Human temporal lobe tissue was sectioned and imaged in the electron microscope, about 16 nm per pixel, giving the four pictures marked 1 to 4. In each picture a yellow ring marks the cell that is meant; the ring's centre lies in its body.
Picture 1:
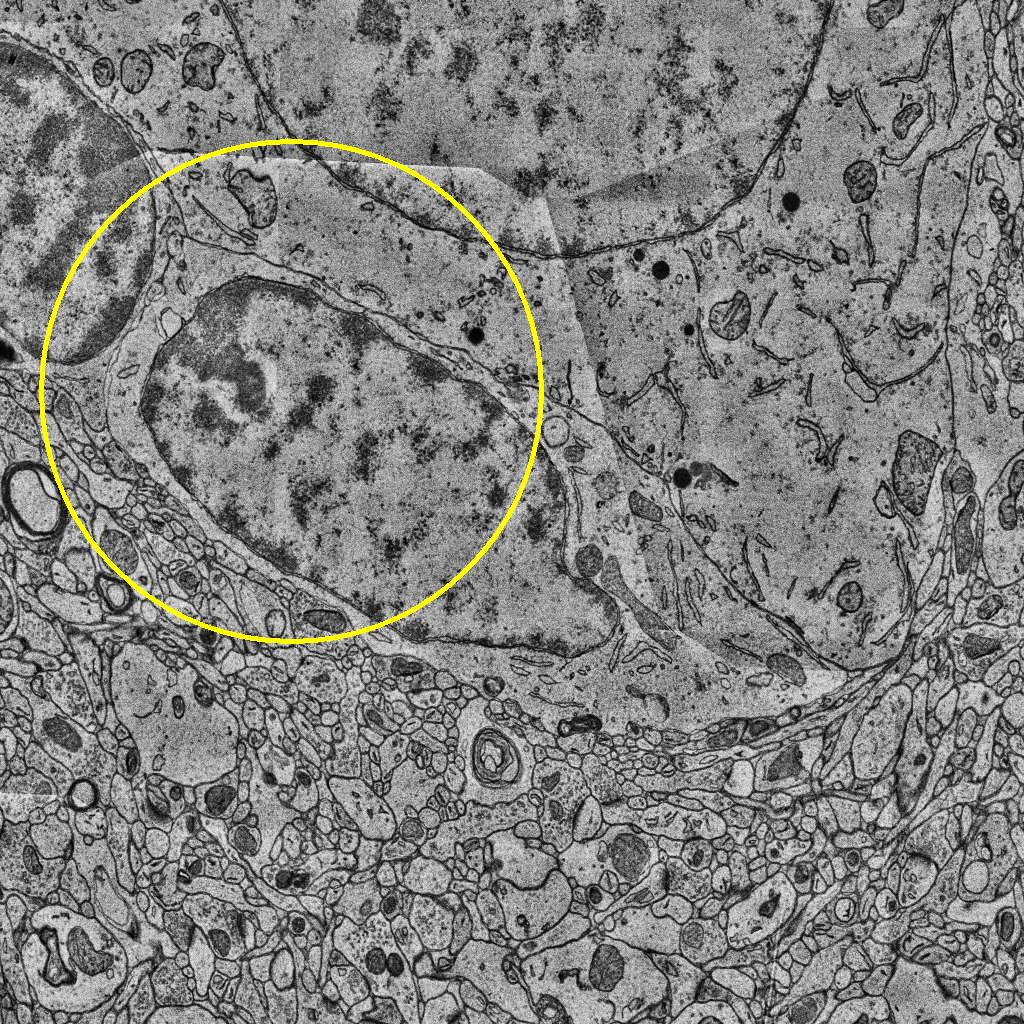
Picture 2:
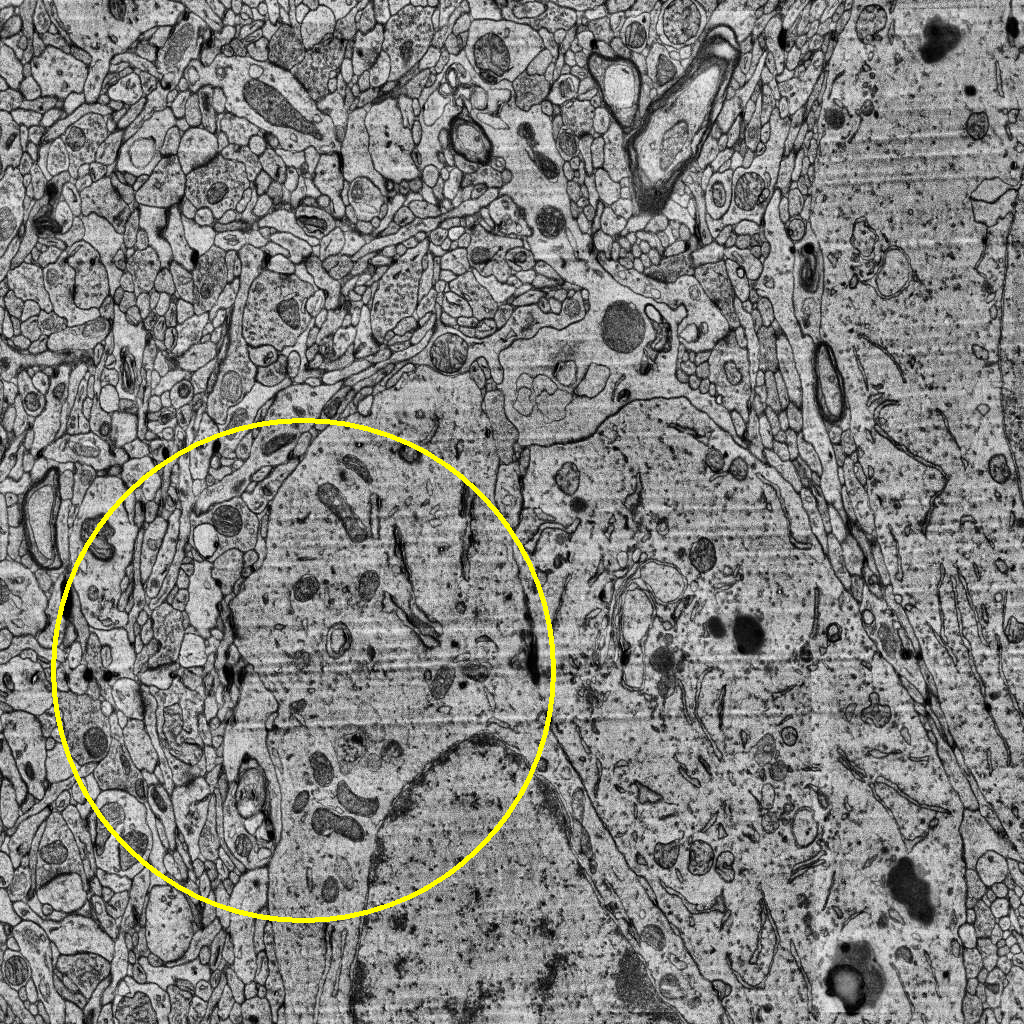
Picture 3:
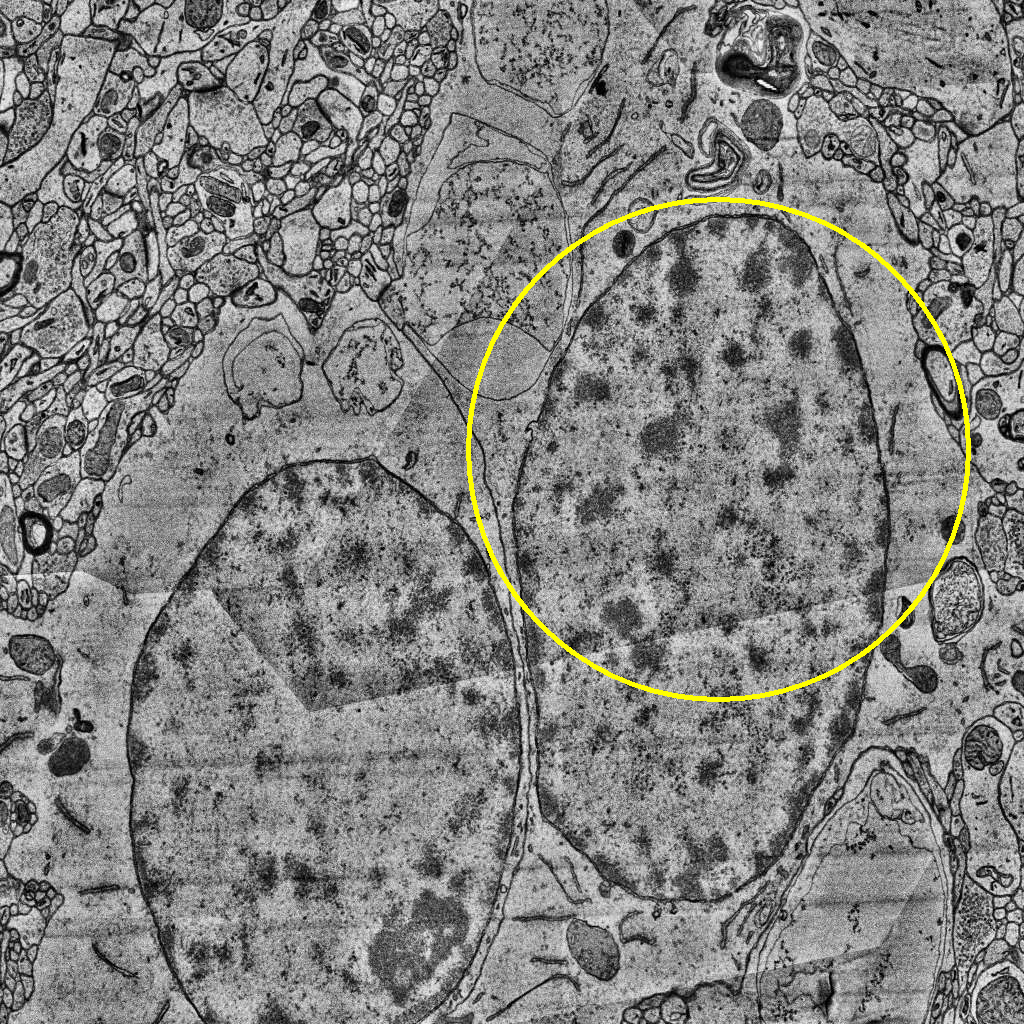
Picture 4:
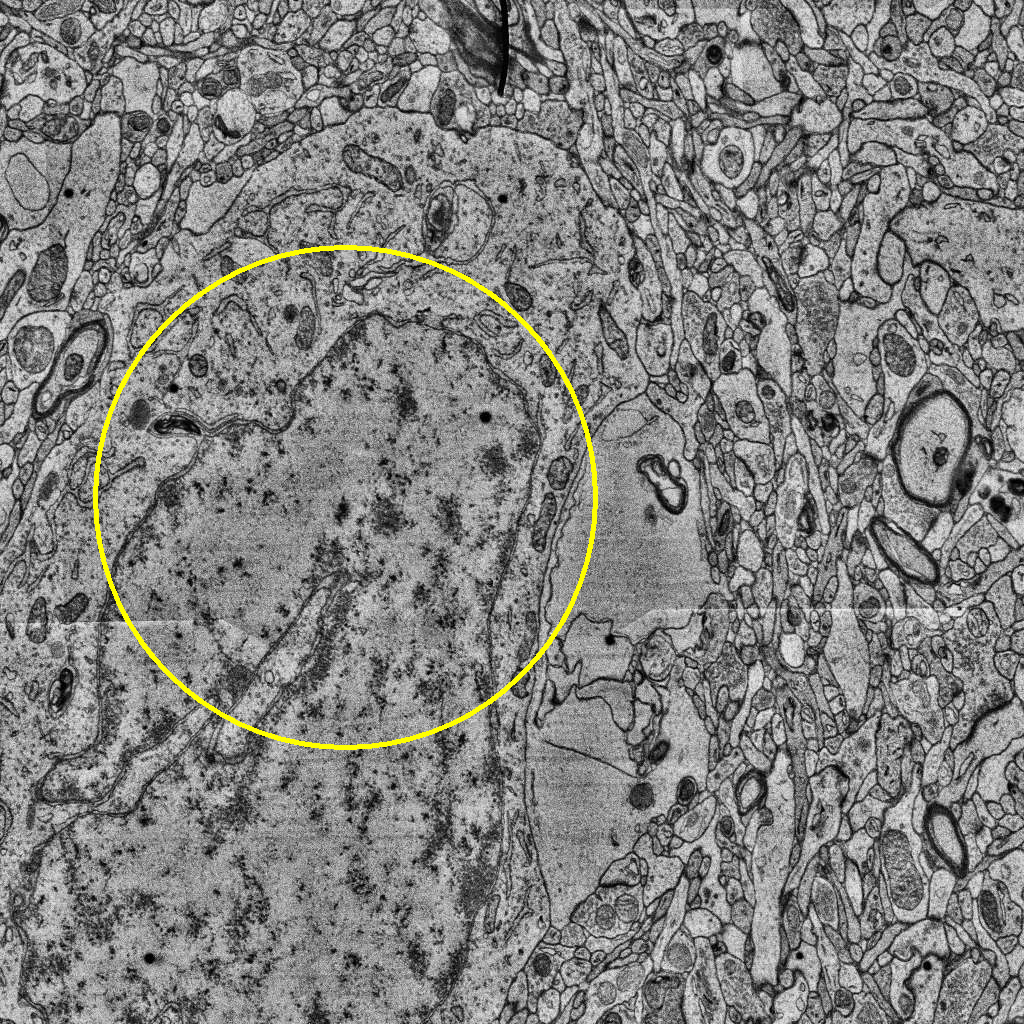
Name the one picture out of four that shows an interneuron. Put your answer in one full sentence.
It is picture 4 that shows the interneuron.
